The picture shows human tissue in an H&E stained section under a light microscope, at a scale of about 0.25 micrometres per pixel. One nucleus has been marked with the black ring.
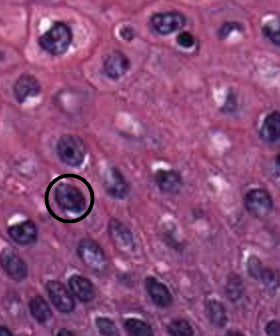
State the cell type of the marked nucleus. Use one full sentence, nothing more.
The marked nucleus belongs to a squamous epithelial cell.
